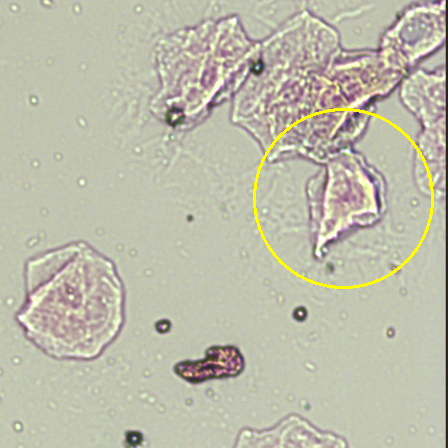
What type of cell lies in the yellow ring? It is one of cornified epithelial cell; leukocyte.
The ringed cell is a cornified epithelial cell.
